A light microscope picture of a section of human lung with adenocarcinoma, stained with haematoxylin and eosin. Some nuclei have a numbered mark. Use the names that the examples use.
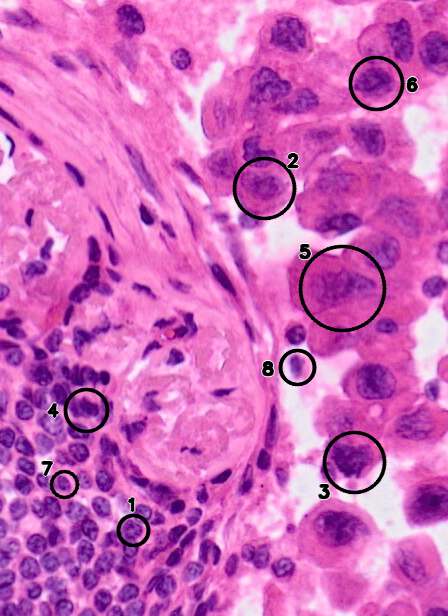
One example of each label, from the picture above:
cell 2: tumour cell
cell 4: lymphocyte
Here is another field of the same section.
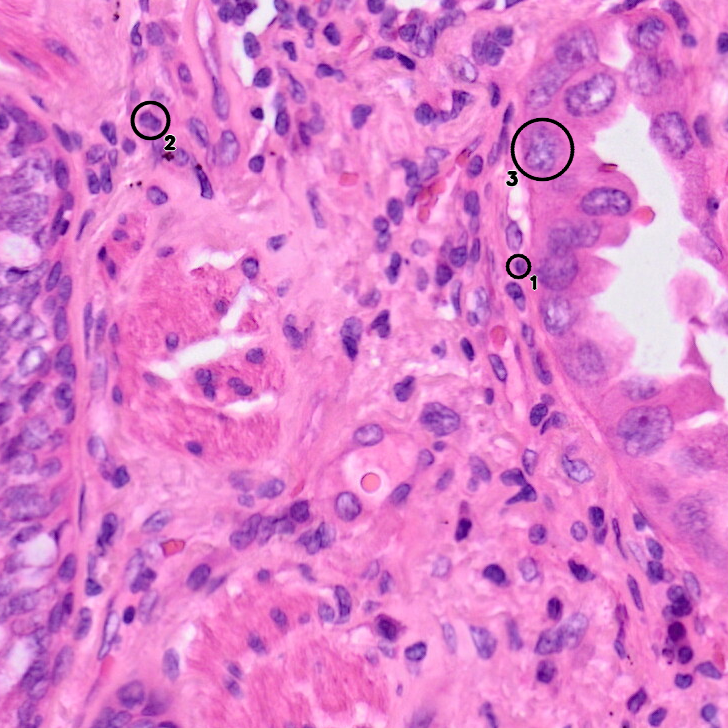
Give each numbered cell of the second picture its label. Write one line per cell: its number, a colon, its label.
1: lymphocyte
2: lymphocyte
3: tumour cell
